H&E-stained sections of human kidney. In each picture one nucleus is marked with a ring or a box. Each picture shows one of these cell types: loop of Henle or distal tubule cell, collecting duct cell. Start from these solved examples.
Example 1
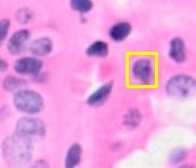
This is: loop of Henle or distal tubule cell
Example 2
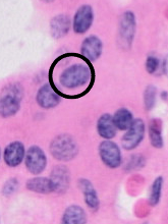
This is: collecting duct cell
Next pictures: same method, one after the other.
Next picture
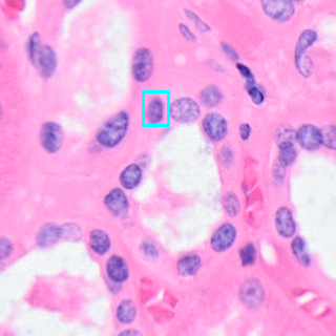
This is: collecting duct cell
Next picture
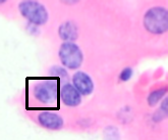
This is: collecting duct cell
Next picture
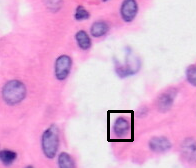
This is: loop of Henle or distal tubule cell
